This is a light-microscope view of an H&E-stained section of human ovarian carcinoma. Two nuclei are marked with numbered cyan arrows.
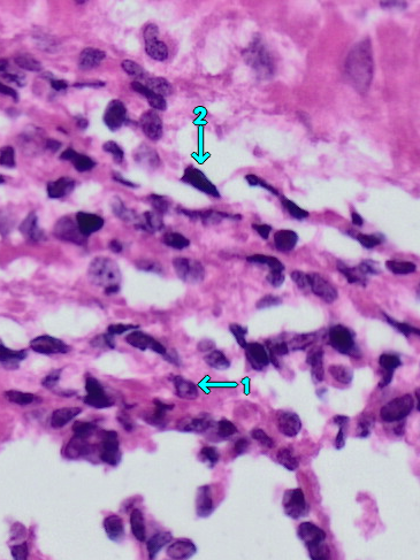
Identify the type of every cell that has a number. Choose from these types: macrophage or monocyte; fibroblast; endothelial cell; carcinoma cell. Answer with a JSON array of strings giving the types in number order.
["macrophage or monocyte", "carcinoma cell"]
